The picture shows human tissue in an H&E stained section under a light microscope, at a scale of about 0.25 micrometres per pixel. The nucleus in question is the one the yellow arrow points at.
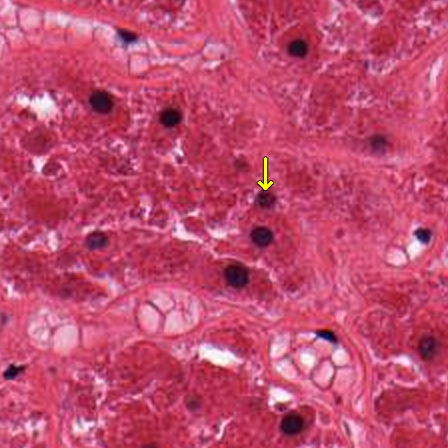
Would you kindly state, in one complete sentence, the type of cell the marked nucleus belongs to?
The marked nucleus is that of a proximal tubule cell in this section.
